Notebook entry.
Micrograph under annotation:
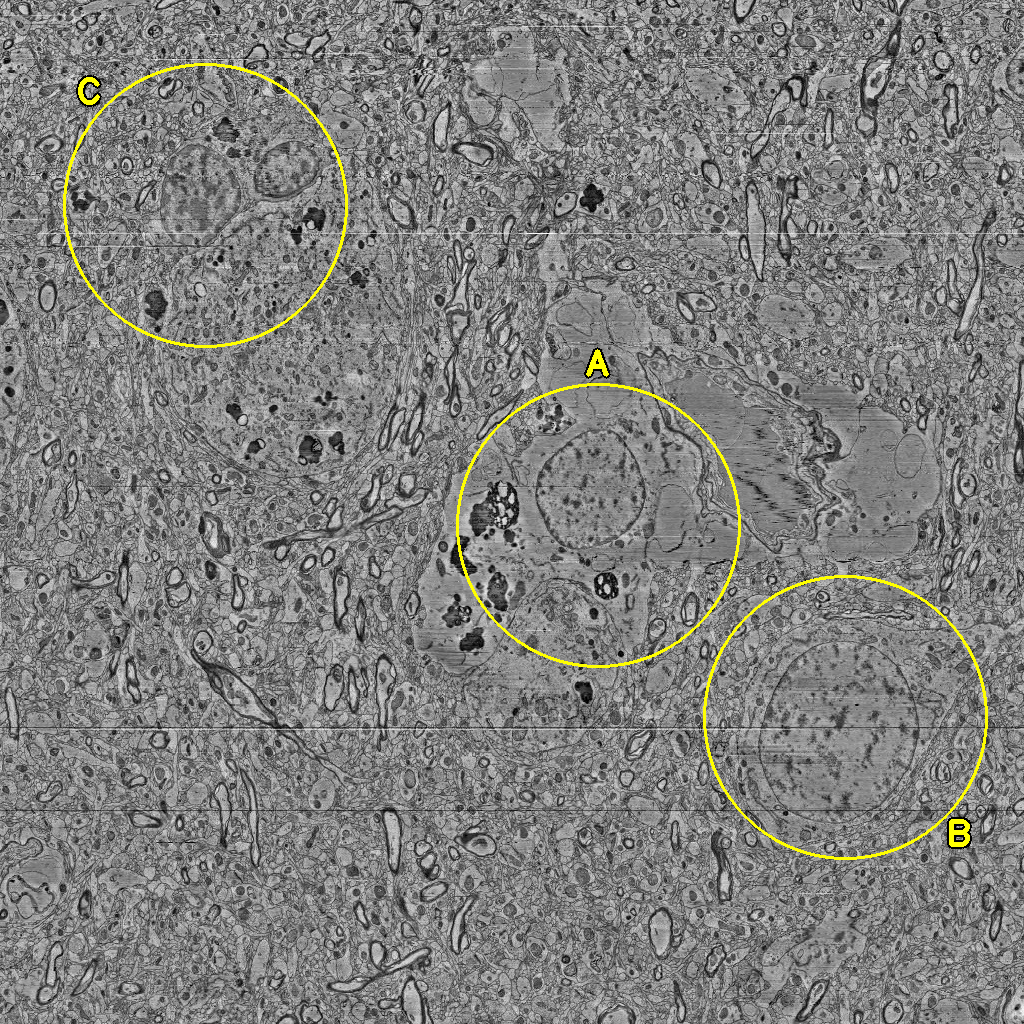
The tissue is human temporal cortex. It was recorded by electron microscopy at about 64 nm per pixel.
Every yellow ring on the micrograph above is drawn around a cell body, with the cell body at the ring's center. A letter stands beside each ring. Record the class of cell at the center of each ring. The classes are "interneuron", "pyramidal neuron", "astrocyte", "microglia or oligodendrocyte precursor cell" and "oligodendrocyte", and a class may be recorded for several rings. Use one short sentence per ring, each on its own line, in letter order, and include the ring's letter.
Ring A is centered on an astrocyte.
Ring B is centered on a pyramidal neuron.
Ring C is centered on an oligodendrocyte.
